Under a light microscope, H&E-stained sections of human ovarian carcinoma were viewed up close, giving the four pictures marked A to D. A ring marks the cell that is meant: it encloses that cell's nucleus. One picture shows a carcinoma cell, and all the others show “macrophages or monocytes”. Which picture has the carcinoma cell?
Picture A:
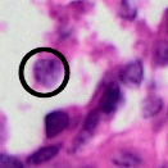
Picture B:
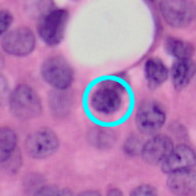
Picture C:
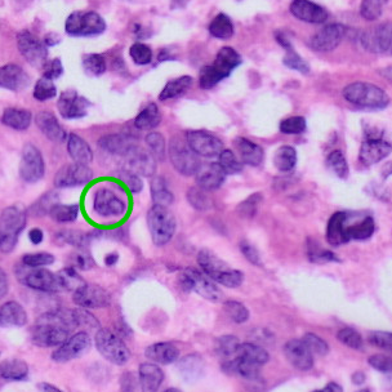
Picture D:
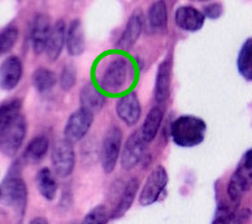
D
